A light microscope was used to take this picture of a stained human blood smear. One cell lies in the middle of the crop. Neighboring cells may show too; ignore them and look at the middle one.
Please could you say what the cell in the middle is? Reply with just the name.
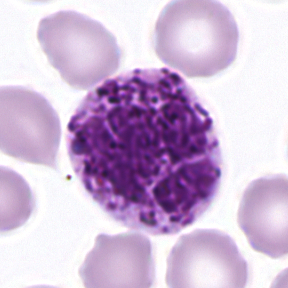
basophil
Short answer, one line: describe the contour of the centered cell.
Smooth outline, no projections: that is the whole story of its edge.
